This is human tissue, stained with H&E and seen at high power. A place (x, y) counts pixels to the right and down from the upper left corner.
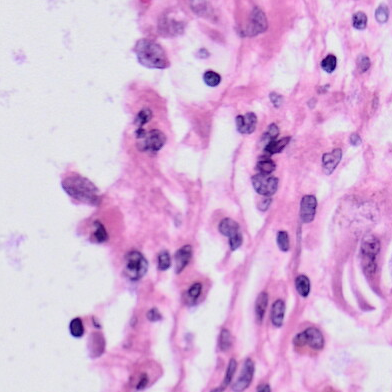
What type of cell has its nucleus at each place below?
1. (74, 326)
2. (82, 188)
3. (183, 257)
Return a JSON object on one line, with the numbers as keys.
{"1": "lymphocyte", "2": "melanoma cell", "3": "macrophage or monocyte"}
